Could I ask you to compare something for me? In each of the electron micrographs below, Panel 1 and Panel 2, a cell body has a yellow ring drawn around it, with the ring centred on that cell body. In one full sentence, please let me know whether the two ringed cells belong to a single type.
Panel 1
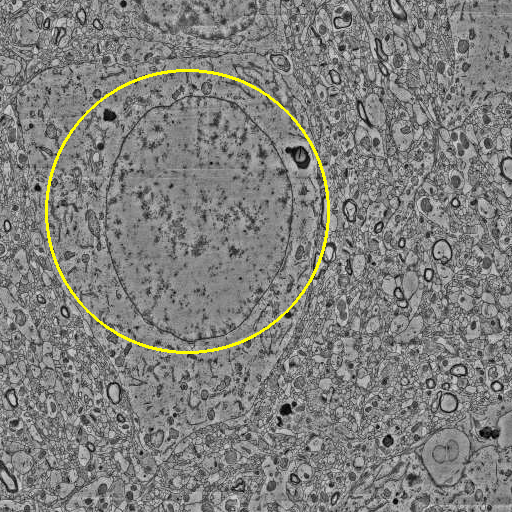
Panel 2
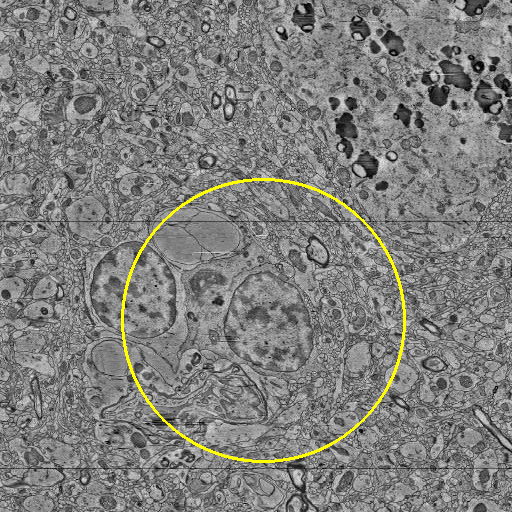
No, the two cells at the centres of the rings are of two types.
